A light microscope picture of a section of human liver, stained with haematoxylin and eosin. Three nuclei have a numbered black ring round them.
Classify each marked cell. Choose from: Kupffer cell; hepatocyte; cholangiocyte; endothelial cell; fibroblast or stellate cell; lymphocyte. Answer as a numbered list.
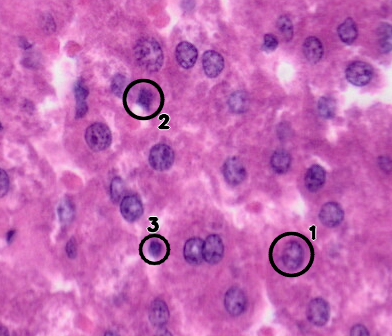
1. hepatocyte
2. endothelial cell
3. lymphocyte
